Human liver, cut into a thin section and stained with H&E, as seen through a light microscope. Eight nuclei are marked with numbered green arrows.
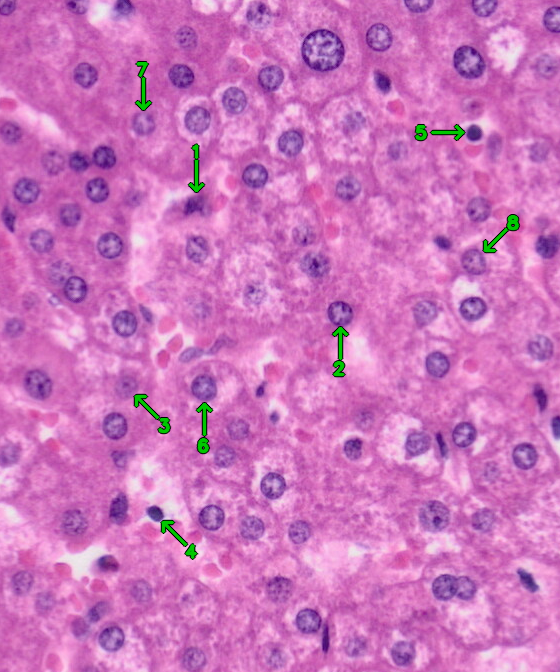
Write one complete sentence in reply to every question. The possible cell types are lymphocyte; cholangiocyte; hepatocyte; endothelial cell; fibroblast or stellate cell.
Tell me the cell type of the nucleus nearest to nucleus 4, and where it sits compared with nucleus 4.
The nearest one is a fibroblast or stellate cell, found to the left of nucleus 4.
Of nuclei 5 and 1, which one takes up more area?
At about 1.5 times the area of nucleus 5, nucleus 1 is the larger of the two.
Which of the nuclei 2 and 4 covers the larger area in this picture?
It is nucleus 2, which covers about 2 times the area of nucleus 4.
